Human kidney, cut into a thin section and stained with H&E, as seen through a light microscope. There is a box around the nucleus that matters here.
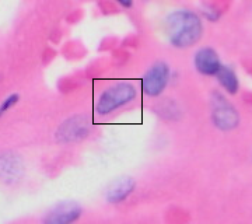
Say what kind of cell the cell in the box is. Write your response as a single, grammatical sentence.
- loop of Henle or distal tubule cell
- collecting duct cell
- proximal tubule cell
In cell-type terms, the cell in the box is a collecting duct cell.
